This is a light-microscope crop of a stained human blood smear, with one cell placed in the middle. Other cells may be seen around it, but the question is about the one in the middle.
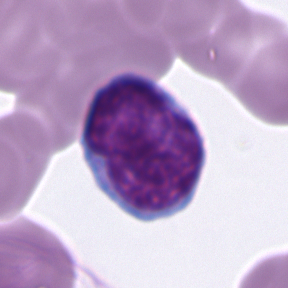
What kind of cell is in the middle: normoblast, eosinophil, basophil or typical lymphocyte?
typical lymphocyte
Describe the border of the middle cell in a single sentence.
No surface projections are present; the cell outline is smooth.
